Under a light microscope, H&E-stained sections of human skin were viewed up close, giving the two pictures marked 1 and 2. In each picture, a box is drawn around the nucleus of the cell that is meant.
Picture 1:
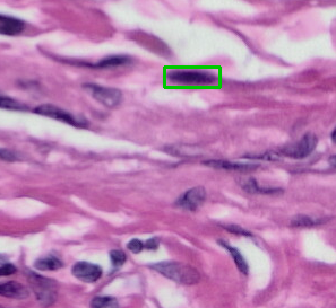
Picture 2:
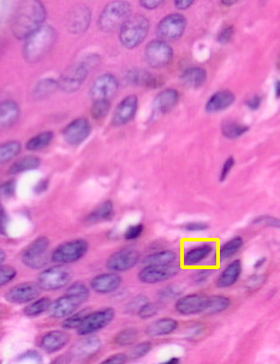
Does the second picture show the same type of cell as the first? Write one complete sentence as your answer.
No, picture 1 shows a fibroblast and picture 2 shows a basal keratinocyte.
